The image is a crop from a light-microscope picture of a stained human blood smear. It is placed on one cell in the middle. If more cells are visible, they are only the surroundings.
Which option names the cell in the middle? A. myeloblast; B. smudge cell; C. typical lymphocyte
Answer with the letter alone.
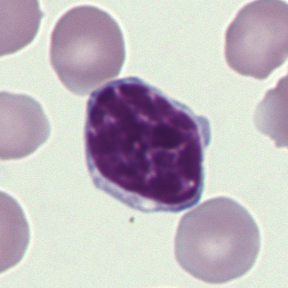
C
